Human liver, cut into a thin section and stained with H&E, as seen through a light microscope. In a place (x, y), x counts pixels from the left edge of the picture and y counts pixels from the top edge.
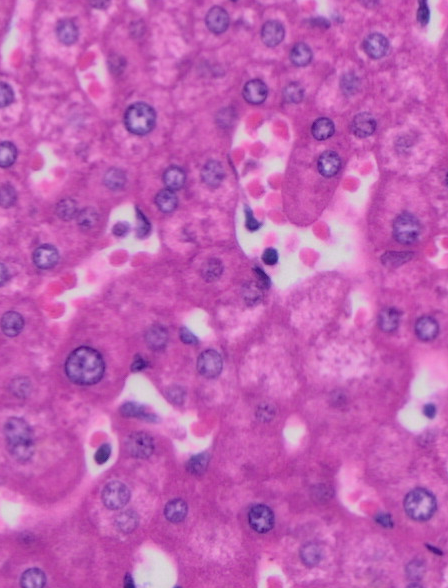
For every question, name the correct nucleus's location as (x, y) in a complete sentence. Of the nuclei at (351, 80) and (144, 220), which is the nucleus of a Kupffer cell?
The nucleus at (144, 220) is assigned to a Kupffer cell.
